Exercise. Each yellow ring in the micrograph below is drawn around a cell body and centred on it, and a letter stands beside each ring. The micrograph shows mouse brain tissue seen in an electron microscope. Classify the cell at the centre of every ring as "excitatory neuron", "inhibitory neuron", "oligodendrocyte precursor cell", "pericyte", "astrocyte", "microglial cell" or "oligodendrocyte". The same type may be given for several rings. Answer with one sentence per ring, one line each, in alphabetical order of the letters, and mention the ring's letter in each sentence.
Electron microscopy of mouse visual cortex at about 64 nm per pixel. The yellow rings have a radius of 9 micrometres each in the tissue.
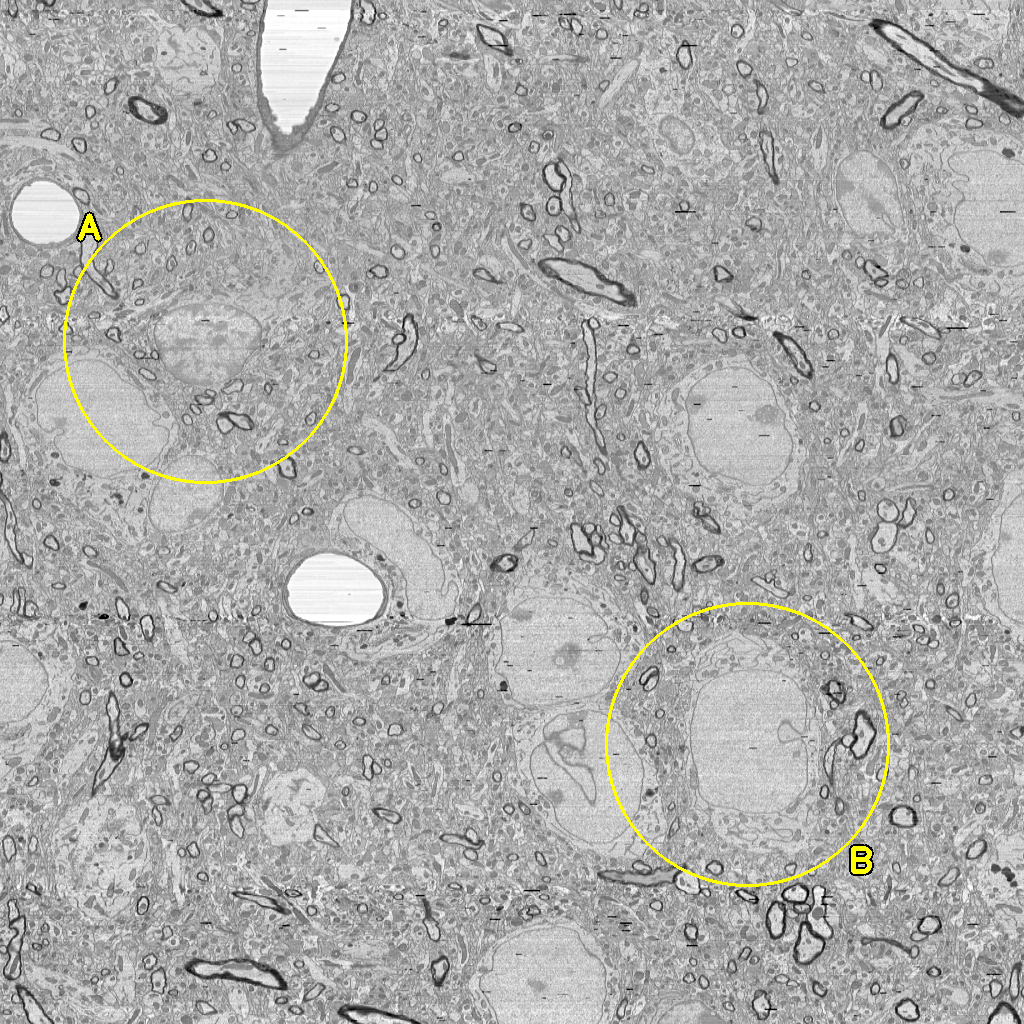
In ring A, the central cell is an oligodendrocyte.
In ring B, the central cell is an excitatory neuron.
